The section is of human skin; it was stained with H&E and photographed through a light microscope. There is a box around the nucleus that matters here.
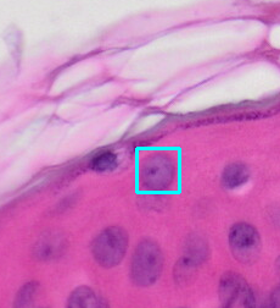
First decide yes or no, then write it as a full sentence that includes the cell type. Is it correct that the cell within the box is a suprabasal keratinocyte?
Yes, the cell within the box in this section represents a suprabasal keratinocyte.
